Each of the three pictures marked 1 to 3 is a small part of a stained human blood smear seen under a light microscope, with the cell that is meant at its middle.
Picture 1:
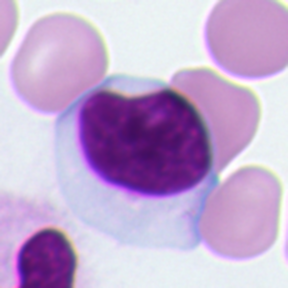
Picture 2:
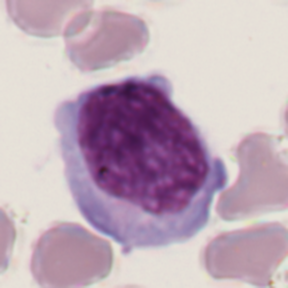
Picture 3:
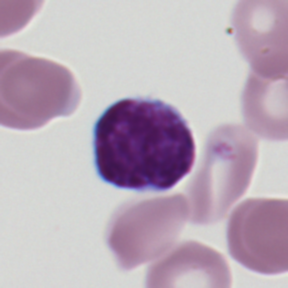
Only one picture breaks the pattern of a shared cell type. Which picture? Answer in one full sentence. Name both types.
The others show typical lymphocytes, but picture 2 shows a plasma cell.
